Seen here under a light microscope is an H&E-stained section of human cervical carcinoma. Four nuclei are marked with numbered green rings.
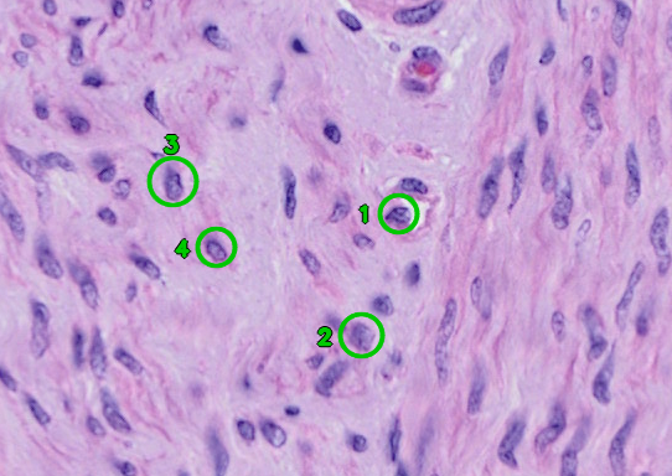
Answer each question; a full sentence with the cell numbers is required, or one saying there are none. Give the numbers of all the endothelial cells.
Only cell 1 is an endothelial cell; none of the other numbered cells is.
